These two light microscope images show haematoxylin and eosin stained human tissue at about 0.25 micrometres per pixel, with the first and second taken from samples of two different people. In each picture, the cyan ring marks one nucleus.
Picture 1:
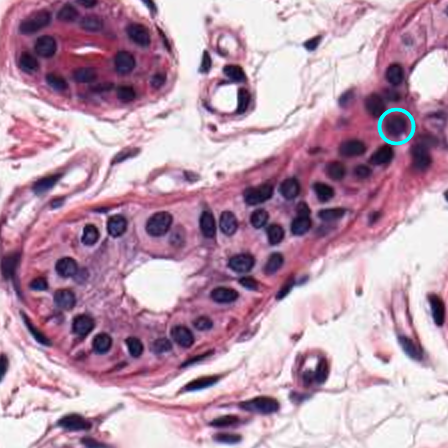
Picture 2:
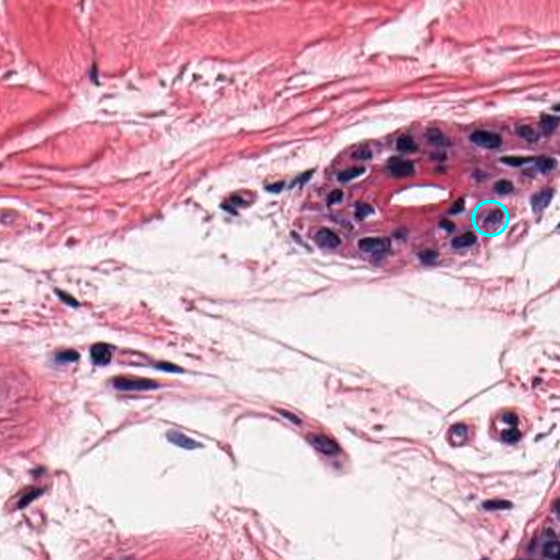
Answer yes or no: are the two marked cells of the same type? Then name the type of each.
Yes, both are sweat gland cells.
